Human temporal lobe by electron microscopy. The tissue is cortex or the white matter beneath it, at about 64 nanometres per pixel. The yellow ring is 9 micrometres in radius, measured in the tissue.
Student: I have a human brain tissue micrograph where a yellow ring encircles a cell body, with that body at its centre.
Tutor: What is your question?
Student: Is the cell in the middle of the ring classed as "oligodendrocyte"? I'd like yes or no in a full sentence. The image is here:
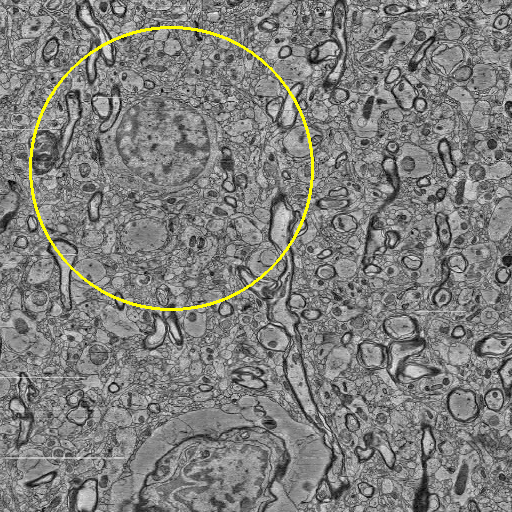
Yes, the cell in the middle of the ring is classed as that kind.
